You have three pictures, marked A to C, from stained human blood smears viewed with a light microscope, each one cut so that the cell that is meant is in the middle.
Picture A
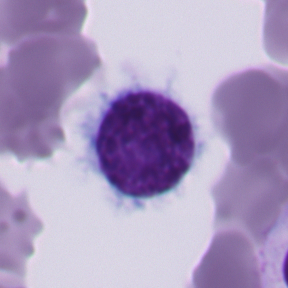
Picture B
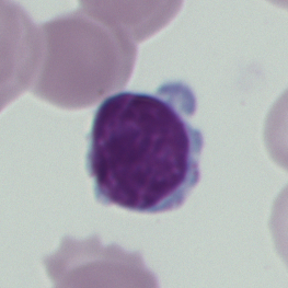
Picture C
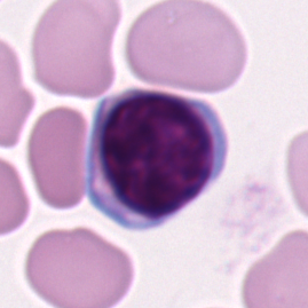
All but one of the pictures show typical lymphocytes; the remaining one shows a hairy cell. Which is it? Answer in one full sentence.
Picture A is the one that shows the hairy cell.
